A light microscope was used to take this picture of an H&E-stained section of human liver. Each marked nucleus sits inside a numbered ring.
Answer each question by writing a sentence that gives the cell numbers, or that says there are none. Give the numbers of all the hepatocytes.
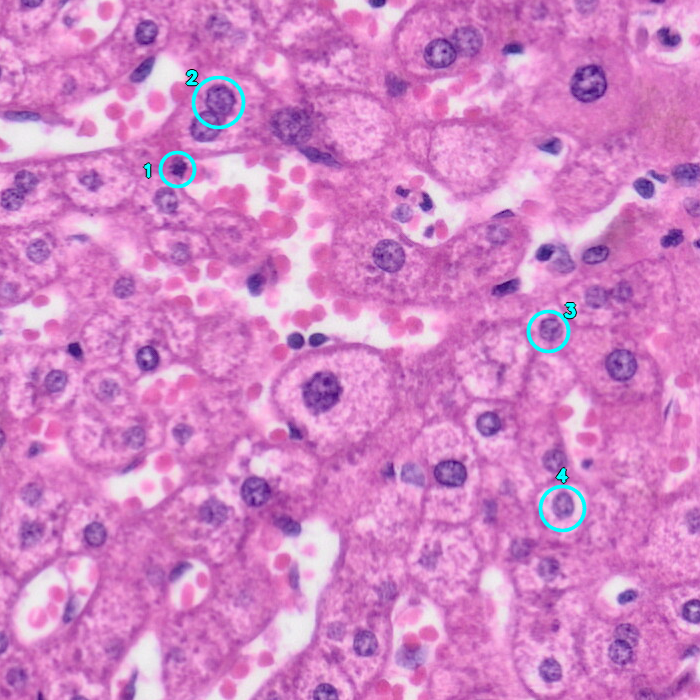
The cells numbered 2, 3 and 4 fall into the category of hepatocytes.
